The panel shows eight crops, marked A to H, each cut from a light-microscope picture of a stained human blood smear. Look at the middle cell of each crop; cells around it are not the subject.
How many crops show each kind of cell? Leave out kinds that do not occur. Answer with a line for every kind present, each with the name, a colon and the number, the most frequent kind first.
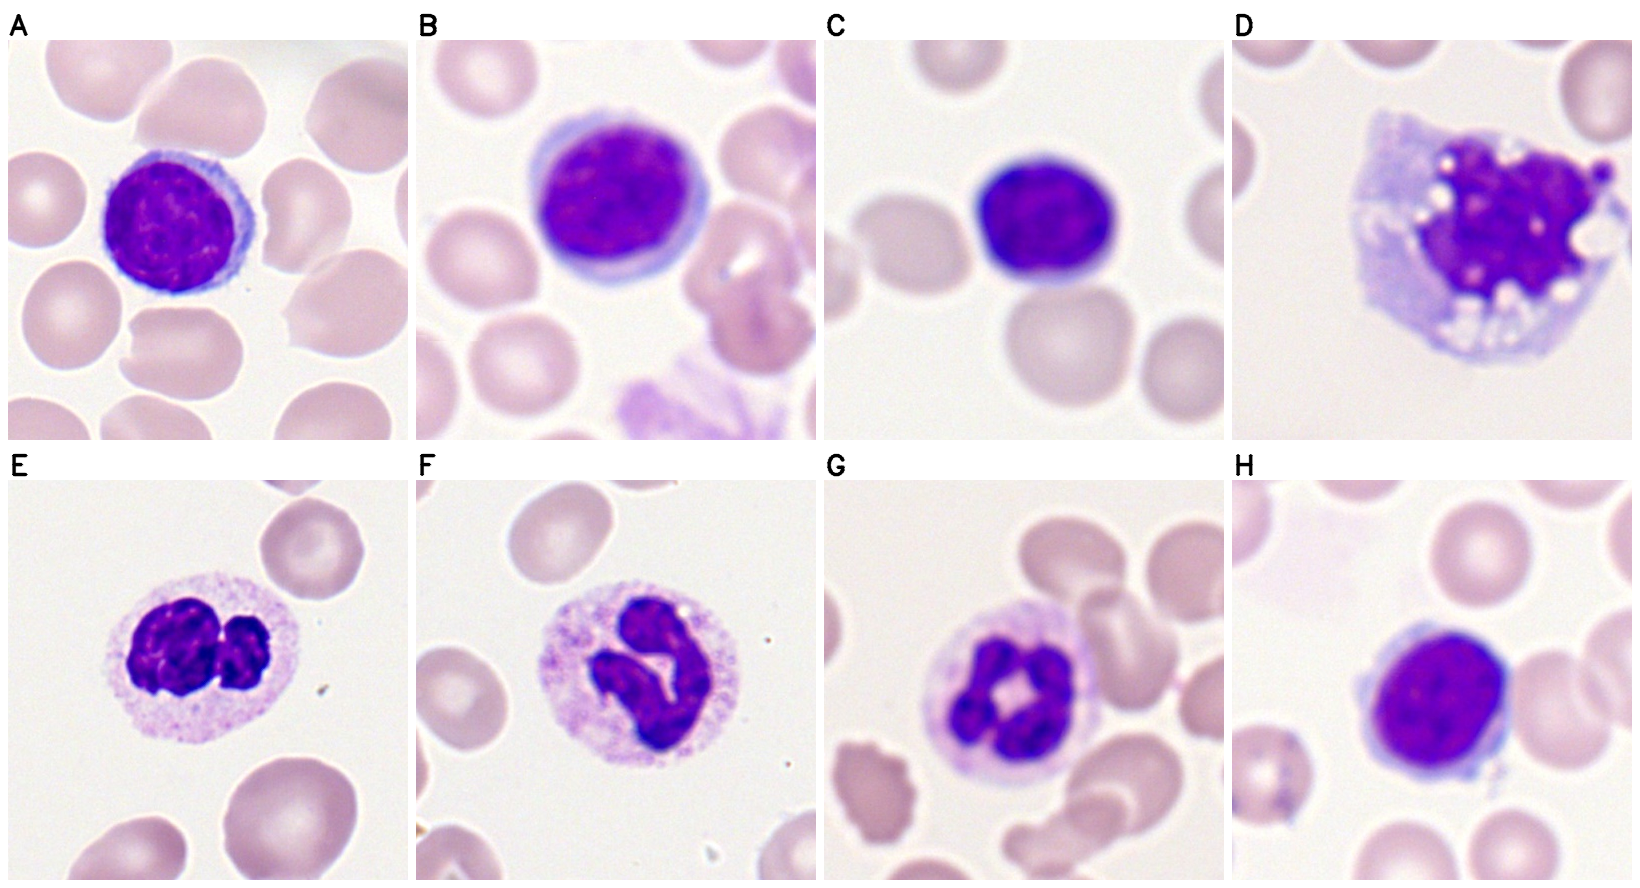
lymphocyte: 4
segmented neutrophil: 3
monocyte: 1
